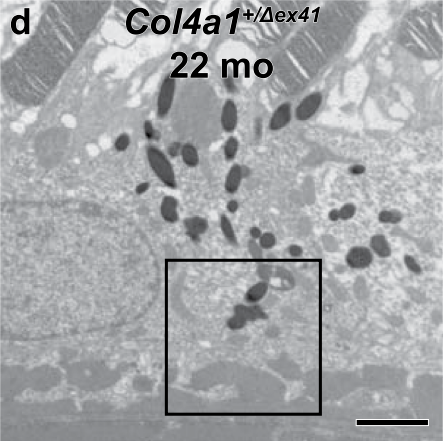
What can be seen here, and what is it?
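This electron micrograph shows the retinal pigment epithelium between photoreceptor outer segments at the top and Bruch’s membrane at the bottom. A large oval nucleus with finely granular chromatin sits on the left, and dark round and elongated melanin granules are scattered through the cytoplasm. Along the base of the cell, above Bruch’s membrane, lie broad smooth grey masses of homogeneous amorphous material that displace the basal cytoplasm. A boxed area marks one of these basal deposits.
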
